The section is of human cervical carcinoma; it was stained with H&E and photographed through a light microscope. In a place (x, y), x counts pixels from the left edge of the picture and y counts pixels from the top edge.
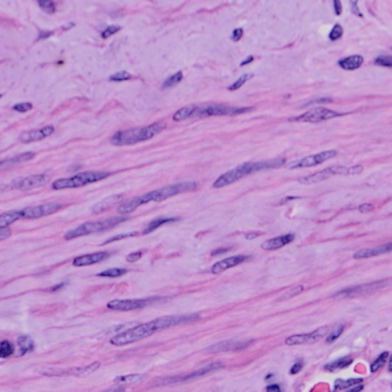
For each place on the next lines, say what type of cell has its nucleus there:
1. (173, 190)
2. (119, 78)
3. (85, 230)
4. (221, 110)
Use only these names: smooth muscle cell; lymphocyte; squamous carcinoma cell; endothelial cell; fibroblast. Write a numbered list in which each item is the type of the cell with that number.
1. smooth muscle cell
2. fibroblast
3. smooth muscle cell
4. smooth muscle cell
